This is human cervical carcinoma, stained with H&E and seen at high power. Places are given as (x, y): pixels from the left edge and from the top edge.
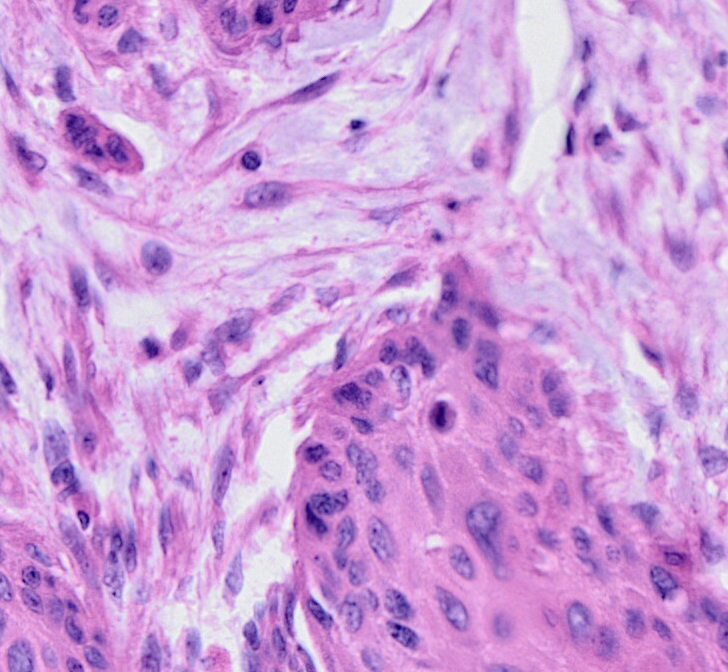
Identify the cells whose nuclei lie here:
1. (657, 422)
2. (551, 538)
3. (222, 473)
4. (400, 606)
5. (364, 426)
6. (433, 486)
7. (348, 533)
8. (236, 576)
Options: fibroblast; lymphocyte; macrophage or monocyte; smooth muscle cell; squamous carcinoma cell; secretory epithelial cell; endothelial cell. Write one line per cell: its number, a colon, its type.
1: fibroblast
2: squamous carcinoma cell
3: fibroblast
4: squamous carcinoma cell
5: squamous carcinoma cell
6: squamous carcinoma cell
7: squamous carcinoma cell
8: fibroblast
